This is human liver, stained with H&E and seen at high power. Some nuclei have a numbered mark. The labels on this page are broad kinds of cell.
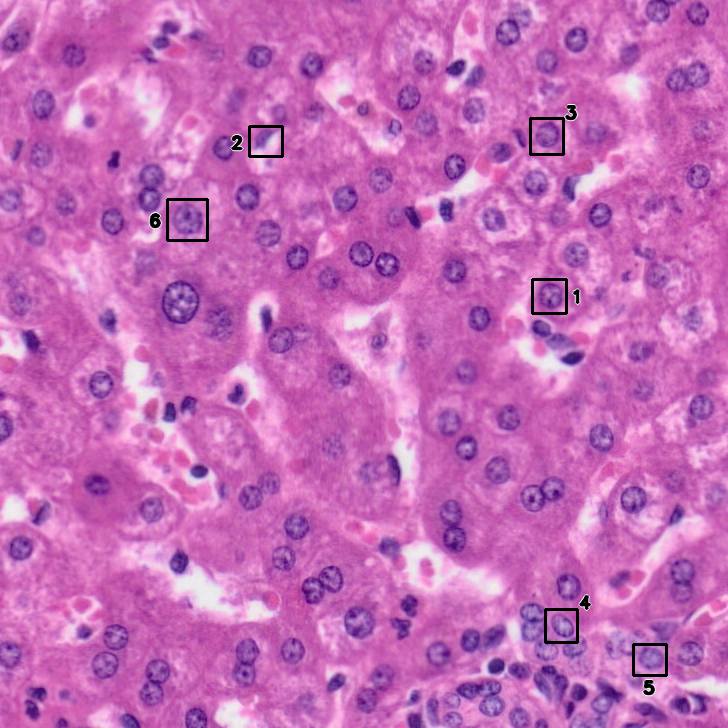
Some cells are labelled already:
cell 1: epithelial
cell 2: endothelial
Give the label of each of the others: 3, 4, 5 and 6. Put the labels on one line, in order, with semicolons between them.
epithelial; epithelial; epithelial; epithelial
